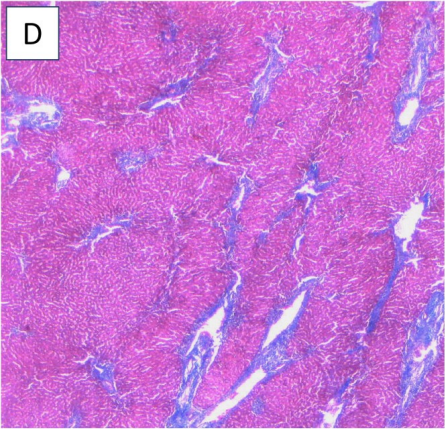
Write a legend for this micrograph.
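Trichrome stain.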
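This low-power section shows parenchyma of hepatocytes stained pink-red, arranged in cords separated by thin pale channels. Blue-staining bands of fibrous tissue run obliquely across the field, many surrounding open white vascular lumens.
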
